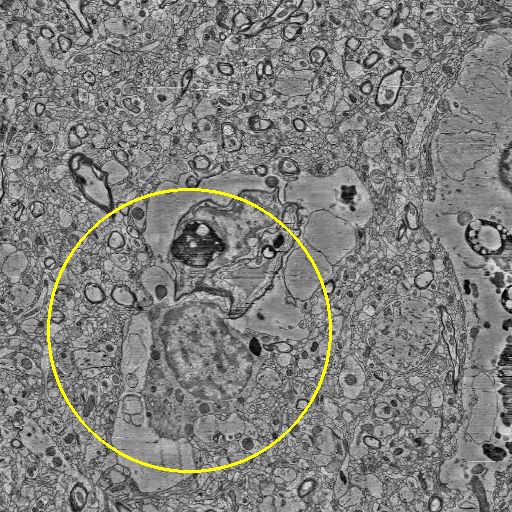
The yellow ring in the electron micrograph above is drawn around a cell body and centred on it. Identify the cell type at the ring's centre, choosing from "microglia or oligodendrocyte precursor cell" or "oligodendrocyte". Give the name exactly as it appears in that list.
oligodendrocyte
